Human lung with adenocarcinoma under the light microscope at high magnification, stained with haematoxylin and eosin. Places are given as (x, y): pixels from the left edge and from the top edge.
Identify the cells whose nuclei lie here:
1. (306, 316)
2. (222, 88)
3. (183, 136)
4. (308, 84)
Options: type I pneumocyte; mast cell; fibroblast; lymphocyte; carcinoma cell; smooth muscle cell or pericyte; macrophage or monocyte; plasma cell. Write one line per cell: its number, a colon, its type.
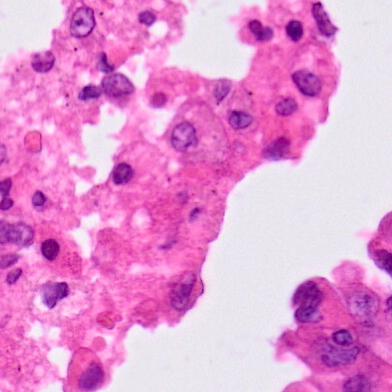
1: carcinoma cell
2: macrophage or monocyte
3: macrophage or monocyte
4: macrophage or monocyte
